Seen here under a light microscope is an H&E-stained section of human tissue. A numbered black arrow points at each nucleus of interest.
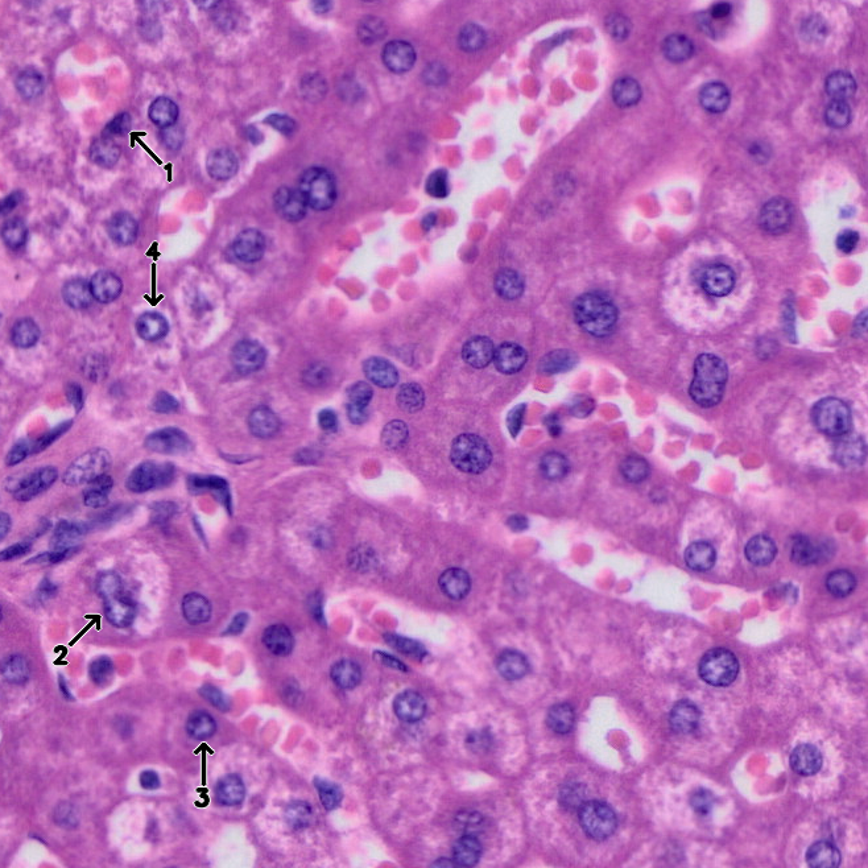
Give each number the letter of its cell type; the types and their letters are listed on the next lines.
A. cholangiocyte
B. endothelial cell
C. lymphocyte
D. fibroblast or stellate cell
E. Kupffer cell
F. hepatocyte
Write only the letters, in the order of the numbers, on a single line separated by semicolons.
D; F; F; F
